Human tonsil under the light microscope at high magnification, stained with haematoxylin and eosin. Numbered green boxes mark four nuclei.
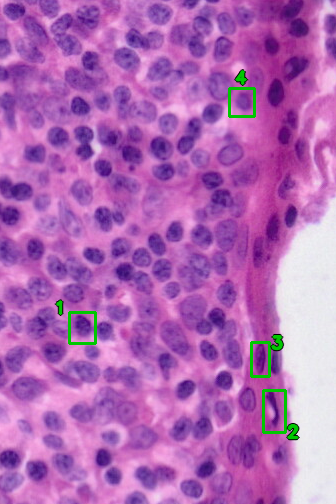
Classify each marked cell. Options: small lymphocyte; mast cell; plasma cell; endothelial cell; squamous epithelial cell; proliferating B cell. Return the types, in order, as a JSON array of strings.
["plasma cell", "squamous epithelial cell", "squamous epithelial cell", "squamous epithelial cell"]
